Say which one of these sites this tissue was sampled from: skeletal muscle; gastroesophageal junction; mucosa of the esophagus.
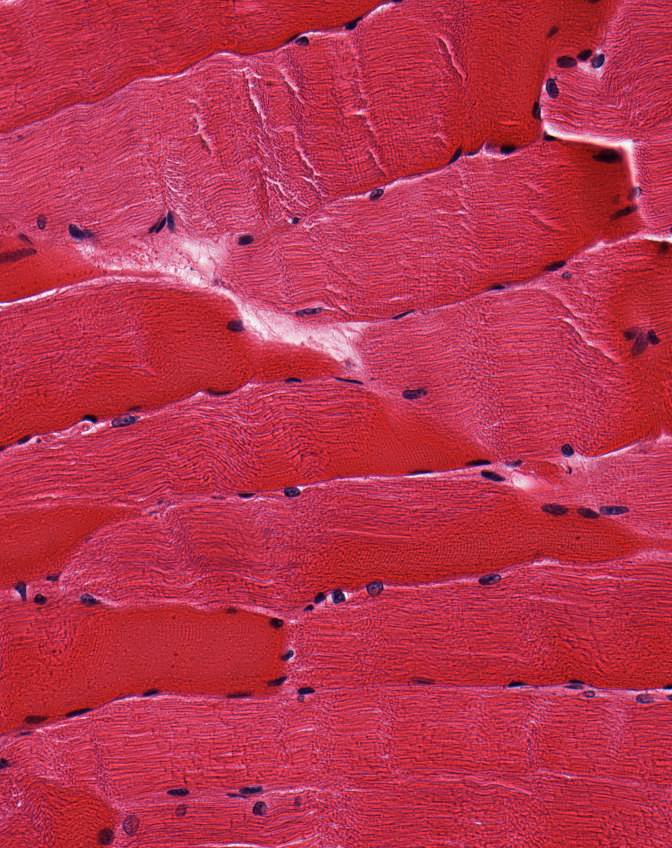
skeletal muscle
